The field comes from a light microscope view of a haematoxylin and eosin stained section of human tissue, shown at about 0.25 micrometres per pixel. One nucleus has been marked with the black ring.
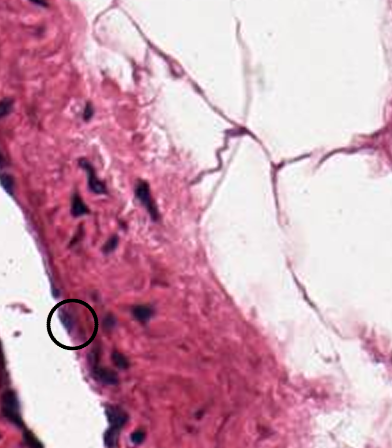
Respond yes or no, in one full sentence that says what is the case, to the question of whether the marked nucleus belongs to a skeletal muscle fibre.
No, the marked nucleus does not belong to a skeletal muscle fibre; it belongs to a supporting cell.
